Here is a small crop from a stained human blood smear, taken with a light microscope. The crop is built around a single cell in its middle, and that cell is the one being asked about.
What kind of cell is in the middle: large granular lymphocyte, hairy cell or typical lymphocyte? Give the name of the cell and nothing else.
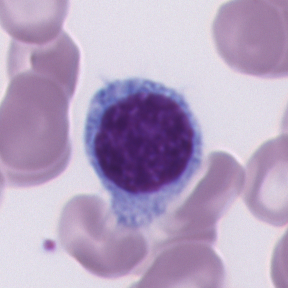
typical lymphocyte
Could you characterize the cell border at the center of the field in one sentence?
The cell shows an uneven border, formed by ragged areas or by outward projections.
